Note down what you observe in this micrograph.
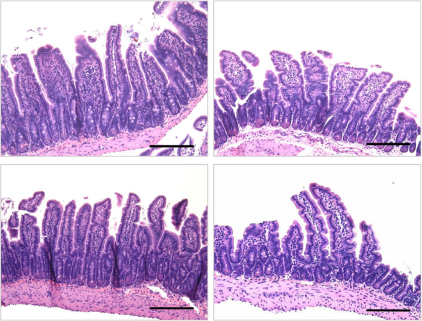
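These are sections of small intestine stained with hematoxylin and eosin, showing the mucosa thrown up into rows of villi. Each villus is a slender finger of tissue covered by a single layer of tall columnar epithelial cells whose nuclei form a dark purple line along its edge, with a paler, looser core in the middle. At the base the villi give way to crypts and then to a pink band of smooth muscle forming the wall.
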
